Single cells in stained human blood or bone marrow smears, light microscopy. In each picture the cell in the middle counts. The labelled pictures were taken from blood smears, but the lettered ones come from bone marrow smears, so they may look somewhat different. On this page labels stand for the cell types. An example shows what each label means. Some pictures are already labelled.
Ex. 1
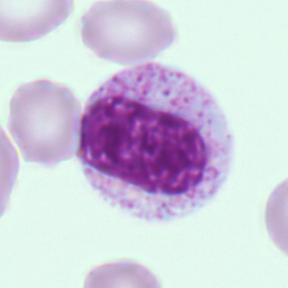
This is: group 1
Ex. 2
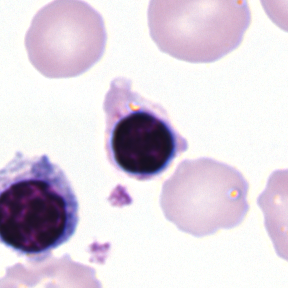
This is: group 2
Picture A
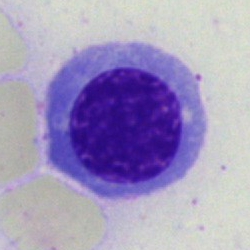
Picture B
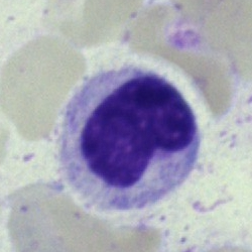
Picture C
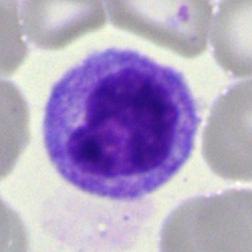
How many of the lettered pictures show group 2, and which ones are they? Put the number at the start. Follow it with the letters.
Count: 1 (A)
